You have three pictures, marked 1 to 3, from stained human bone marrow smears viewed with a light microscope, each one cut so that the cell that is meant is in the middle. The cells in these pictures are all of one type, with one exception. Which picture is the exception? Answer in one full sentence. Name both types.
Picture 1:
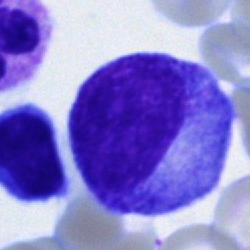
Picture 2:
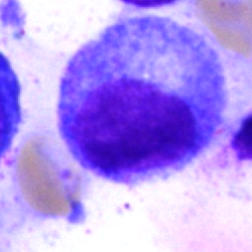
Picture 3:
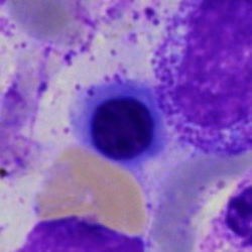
Picture 3 differs, because its cell is an erythroblast and the rest are promyelocytes.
